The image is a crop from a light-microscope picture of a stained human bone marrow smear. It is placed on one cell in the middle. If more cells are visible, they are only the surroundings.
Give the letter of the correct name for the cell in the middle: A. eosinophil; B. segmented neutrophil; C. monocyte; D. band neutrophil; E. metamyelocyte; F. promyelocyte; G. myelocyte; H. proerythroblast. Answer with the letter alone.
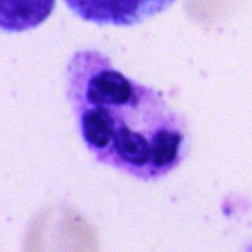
B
